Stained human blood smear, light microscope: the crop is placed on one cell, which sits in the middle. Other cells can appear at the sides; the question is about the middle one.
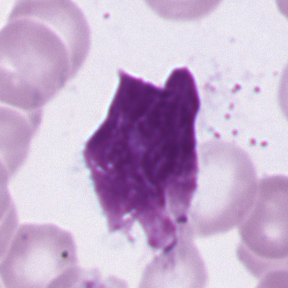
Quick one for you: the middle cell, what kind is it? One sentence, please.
Present in the middle of the crop is a smudge cell.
